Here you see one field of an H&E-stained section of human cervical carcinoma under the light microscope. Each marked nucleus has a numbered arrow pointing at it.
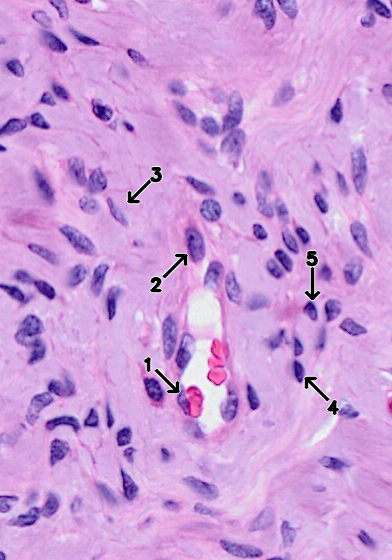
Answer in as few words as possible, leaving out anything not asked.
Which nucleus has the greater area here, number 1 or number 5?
1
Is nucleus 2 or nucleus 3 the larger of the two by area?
2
